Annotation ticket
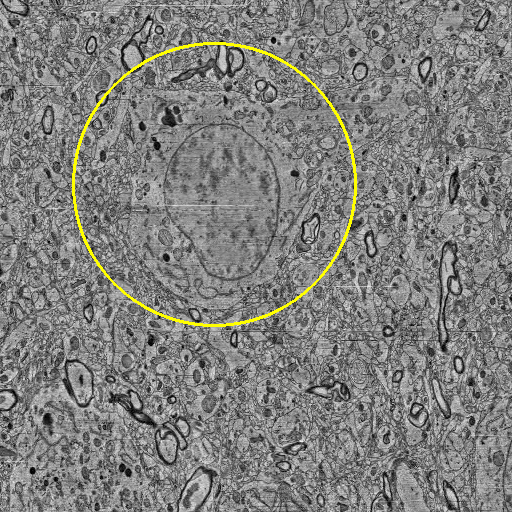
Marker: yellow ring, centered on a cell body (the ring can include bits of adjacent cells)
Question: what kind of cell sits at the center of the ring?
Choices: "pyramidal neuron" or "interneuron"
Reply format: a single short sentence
The ring is centered on a pyramidal neuron.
